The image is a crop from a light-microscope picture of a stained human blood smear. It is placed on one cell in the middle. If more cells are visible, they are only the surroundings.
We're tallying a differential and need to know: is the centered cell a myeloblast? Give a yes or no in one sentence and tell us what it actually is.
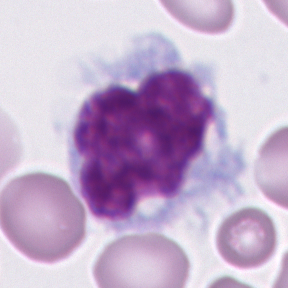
No, what sits in the centre of the crop is a hairy cell rather than a myeloblast.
